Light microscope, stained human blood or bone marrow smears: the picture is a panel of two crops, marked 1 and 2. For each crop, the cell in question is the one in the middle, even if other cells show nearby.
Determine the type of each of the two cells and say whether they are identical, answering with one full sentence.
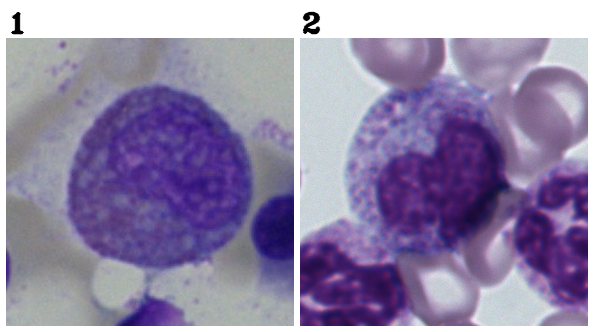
No, crop 1 and crop 2 contain, respectively, an eosinophil and a myelocyte.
